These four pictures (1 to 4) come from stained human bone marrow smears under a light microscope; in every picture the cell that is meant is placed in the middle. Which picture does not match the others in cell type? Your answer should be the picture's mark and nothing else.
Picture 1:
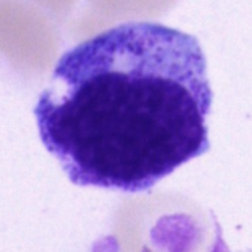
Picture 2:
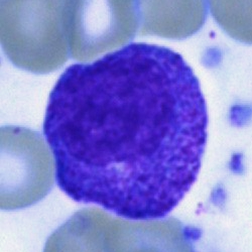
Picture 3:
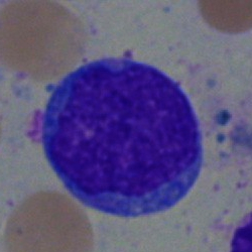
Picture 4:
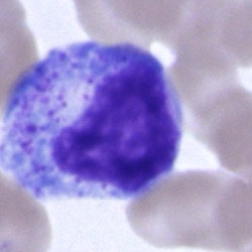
3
